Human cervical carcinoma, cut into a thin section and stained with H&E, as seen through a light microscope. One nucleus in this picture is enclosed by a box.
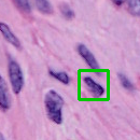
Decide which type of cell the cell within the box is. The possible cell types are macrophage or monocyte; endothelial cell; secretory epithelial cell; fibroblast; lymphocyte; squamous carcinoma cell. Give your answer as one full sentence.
The cell meant here is a fibroblast.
